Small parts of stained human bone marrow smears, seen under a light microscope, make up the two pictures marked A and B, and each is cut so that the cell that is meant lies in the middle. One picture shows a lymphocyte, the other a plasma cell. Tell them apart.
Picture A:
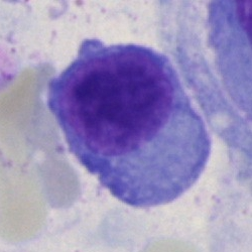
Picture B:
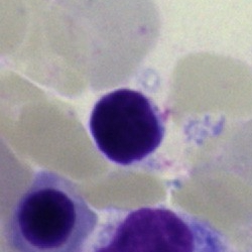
A: plasma cell
B: lymphocyte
